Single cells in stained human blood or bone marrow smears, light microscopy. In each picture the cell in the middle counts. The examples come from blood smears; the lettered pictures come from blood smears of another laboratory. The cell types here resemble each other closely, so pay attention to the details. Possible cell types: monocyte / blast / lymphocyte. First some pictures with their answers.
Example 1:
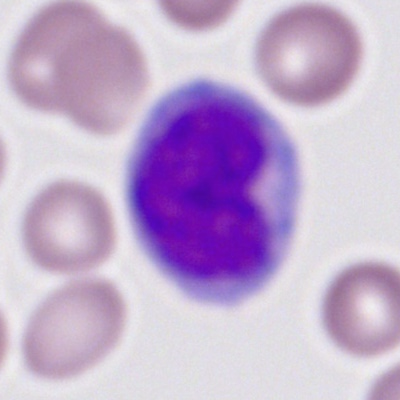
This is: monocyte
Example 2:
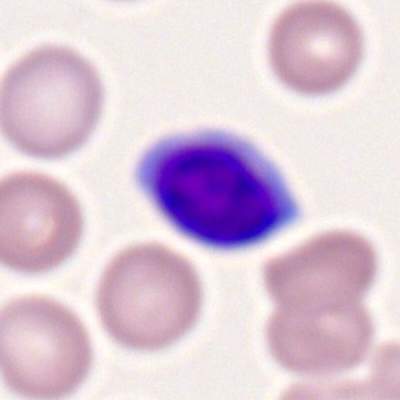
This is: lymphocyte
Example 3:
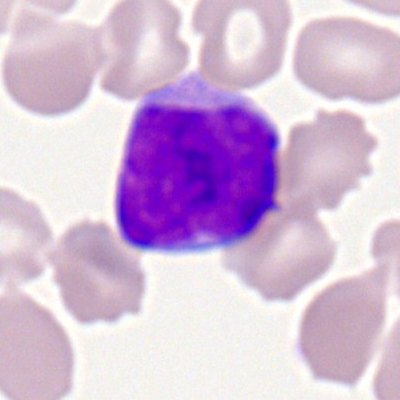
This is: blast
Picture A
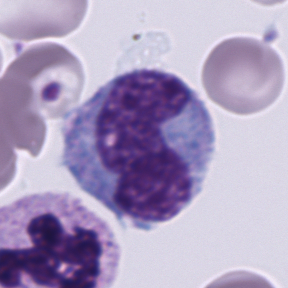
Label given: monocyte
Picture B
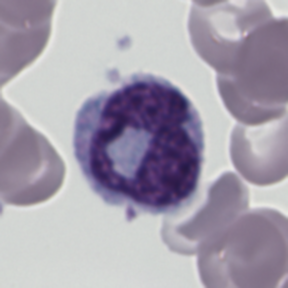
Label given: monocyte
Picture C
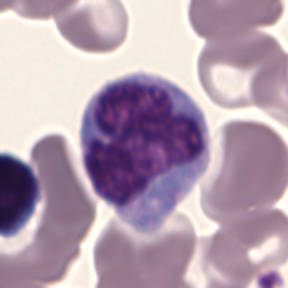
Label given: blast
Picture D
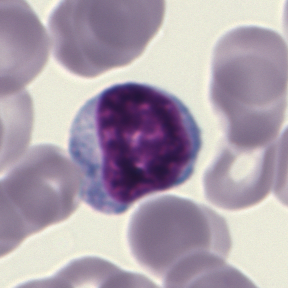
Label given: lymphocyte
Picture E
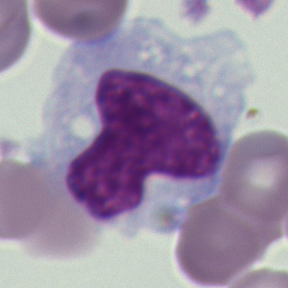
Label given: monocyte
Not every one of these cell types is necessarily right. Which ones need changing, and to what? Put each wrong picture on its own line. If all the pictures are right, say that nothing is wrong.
C is labelled blast; correct label: monocyte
